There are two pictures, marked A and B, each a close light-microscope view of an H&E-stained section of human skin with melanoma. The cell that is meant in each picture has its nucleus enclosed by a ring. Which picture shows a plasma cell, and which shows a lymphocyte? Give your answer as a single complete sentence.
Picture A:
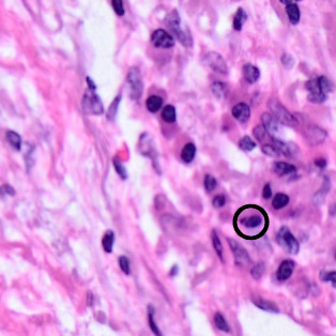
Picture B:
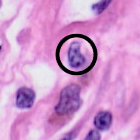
The cell in picture A is a plasma cell, and the one in picture B is a lymphocyte.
